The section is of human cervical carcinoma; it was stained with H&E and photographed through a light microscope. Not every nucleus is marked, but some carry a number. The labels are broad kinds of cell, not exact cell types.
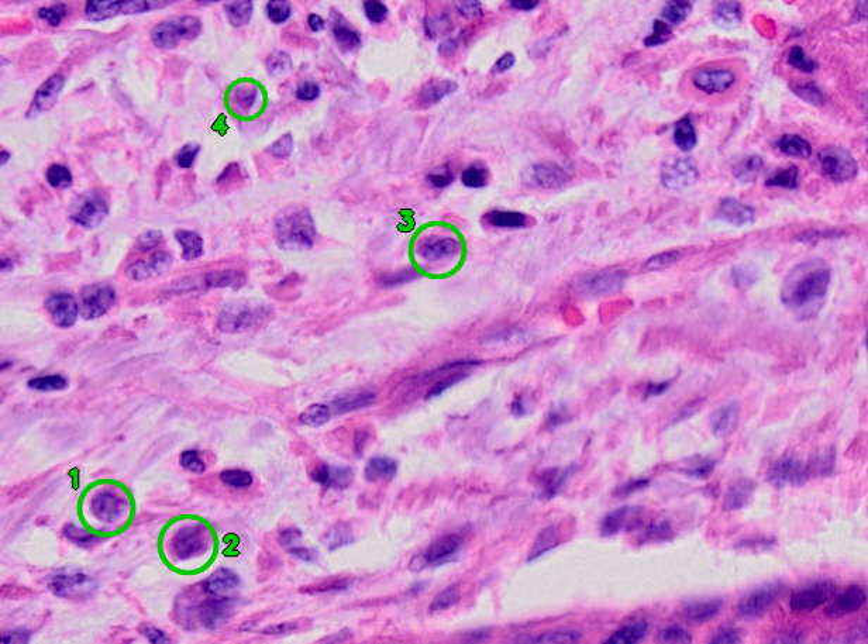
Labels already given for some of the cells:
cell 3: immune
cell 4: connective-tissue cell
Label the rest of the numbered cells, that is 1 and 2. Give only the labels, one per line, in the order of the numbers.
immune
immune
